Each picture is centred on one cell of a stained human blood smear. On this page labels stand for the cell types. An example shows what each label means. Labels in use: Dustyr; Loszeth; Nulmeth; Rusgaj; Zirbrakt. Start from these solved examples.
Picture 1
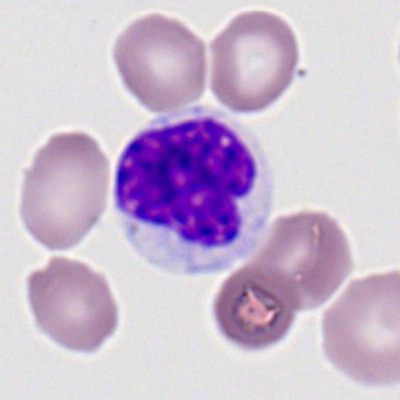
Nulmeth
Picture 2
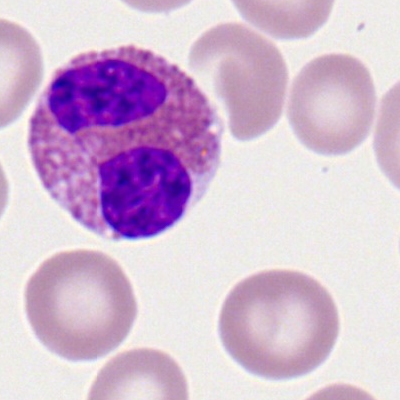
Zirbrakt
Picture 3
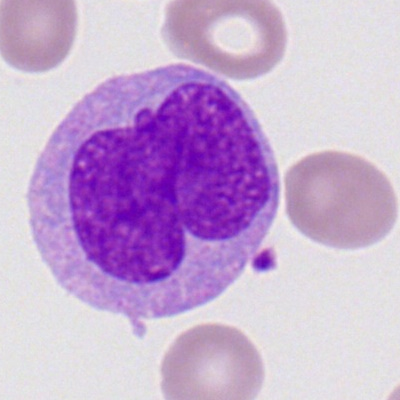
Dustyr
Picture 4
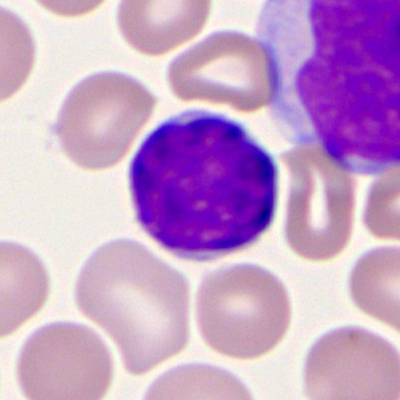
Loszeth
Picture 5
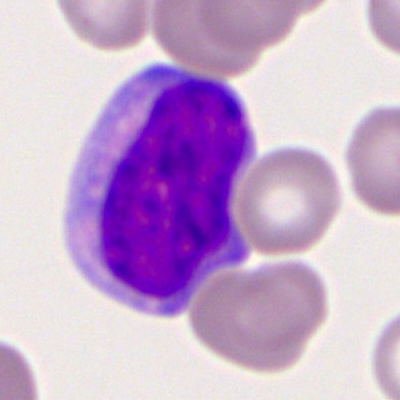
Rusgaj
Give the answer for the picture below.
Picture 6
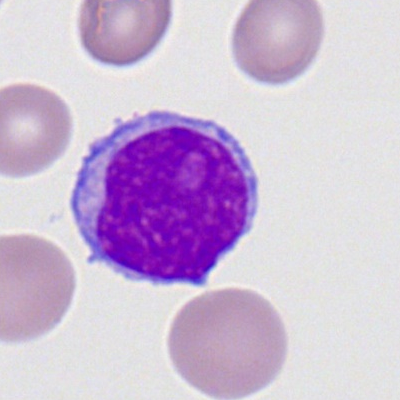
Rusgaj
